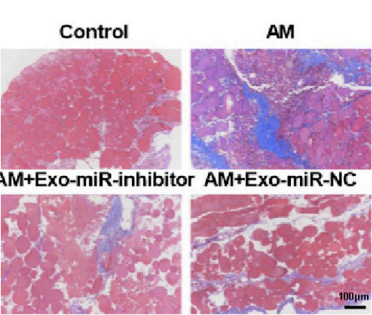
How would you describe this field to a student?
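Muscle fibres are stained red, mostly cut across as rounded to polygonal profiles packed side by side. In the upper left field the fibres lie closely packed with little blue between them. The lower fields show red fibres separated by clefts, with a blue-stained patch of connective tissue in the lower left and thinner blue strands in the lower right.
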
